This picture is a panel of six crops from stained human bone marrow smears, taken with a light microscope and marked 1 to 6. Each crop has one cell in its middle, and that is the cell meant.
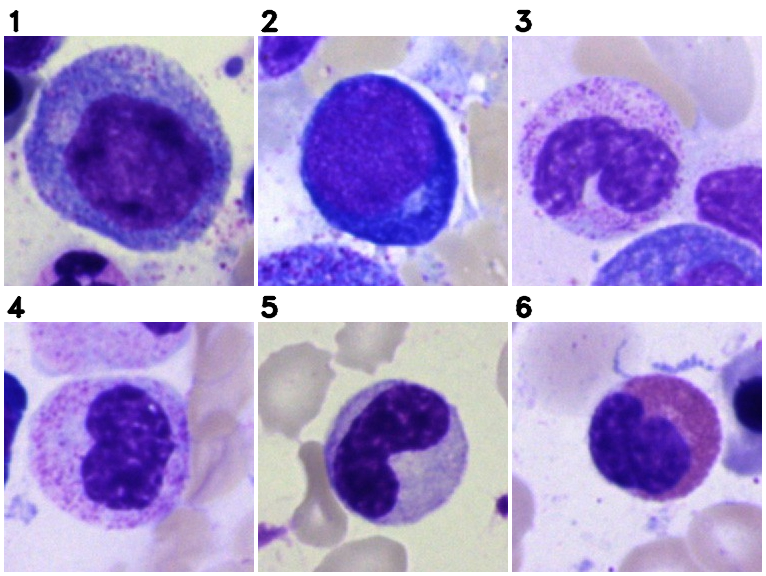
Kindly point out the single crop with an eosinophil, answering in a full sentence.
When the crops are compared, crop 6 is the one showing an eosinophil.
